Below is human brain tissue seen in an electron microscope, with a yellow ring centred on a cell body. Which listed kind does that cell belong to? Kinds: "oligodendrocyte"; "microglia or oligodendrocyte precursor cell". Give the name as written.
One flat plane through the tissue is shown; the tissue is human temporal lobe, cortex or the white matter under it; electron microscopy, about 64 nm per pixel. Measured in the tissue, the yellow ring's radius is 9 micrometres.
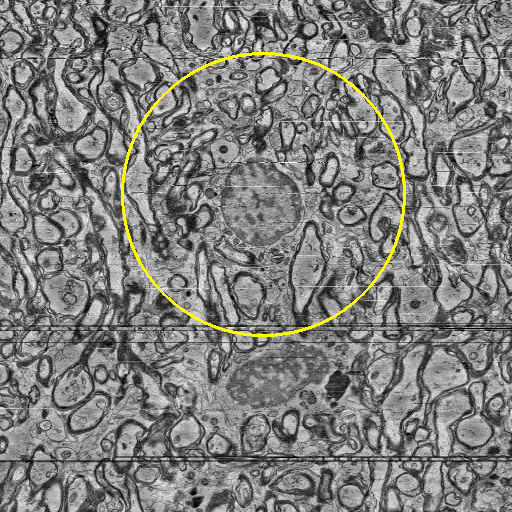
microglia or oligodendrocyte precursor cell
